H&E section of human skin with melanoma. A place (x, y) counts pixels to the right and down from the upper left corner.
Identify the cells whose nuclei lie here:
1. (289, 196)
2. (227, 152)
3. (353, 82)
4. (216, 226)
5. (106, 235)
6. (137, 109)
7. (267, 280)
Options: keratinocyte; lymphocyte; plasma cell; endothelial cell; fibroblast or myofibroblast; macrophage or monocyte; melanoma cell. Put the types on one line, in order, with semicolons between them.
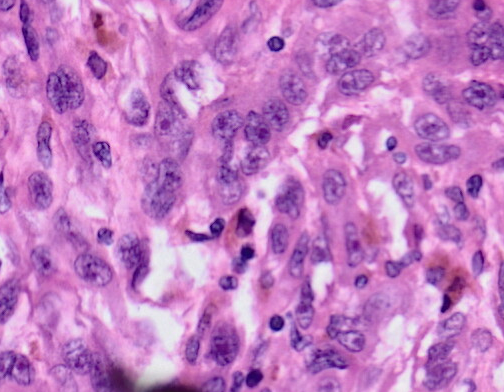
melanoma cell; melanoma cell; melanoma cell; lymphocyte; lymphocyte; melanoma cell; macrophage or monocyte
